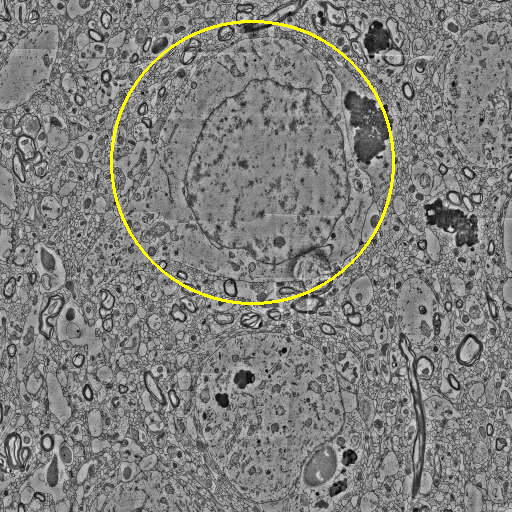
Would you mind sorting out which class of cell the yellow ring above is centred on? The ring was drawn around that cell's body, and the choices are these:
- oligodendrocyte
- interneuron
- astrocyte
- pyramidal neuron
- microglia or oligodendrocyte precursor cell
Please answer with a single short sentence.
This is the cell body of an interneuron.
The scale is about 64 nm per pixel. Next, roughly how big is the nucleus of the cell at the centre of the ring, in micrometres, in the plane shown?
Approximately 11 micrometers across in this plane.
